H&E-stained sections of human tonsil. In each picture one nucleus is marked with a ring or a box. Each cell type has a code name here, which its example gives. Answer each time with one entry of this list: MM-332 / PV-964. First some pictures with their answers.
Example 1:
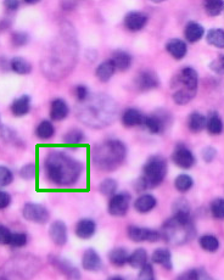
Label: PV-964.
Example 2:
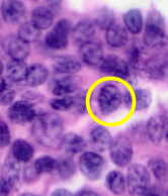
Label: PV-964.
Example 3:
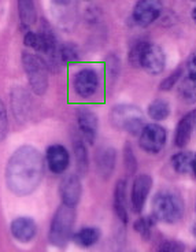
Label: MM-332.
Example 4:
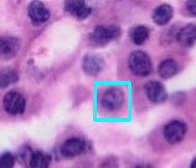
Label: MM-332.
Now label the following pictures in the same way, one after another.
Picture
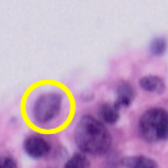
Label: PV-964.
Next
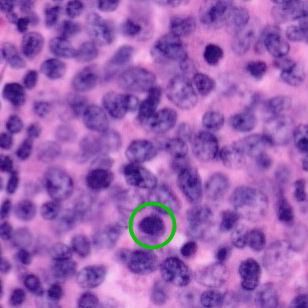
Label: PV-964.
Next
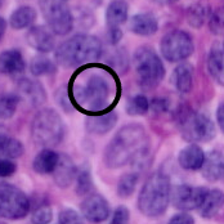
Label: PV-964.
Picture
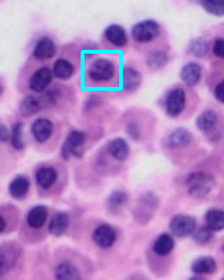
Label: MM-332.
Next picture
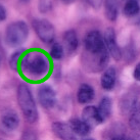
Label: MM-332.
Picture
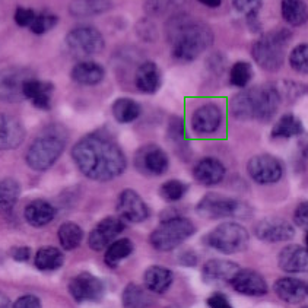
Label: MM-332.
